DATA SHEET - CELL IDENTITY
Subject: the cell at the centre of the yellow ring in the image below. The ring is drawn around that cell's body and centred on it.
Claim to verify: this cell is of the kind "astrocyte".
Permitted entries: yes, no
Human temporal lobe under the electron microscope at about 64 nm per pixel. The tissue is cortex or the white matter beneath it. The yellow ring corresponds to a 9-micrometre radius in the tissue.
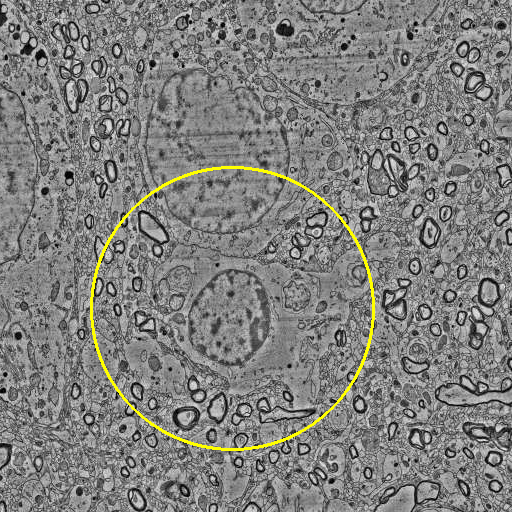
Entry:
yes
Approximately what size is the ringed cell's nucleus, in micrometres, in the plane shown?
In this plane the nucleus measures roughly 6 by 5 micrometres.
